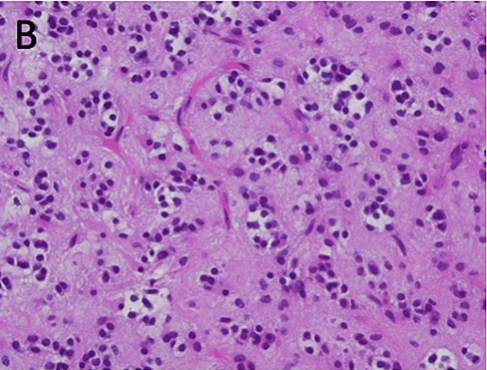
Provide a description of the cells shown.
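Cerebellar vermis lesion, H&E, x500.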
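The cells have small, round, fairly uniform dark purple nuclei, and many are surrounded by clear perinuclear halos that give a fried-egg look. The nests are separated by loose, lightly stained matrix with few cells. Thin, delicate pink vessel walls curve through the field between the clusters. No large atypical cells or dense sheets are seen; the overall pattern is of bland round cells grouped in clusters set apart by pale stroma.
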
